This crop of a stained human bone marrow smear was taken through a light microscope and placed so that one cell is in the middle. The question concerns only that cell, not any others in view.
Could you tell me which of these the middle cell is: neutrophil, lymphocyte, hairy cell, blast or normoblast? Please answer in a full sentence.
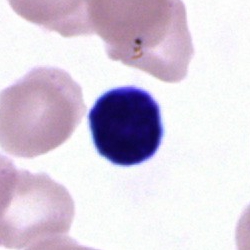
The centrally placed cell is classified as a lymphocyte.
